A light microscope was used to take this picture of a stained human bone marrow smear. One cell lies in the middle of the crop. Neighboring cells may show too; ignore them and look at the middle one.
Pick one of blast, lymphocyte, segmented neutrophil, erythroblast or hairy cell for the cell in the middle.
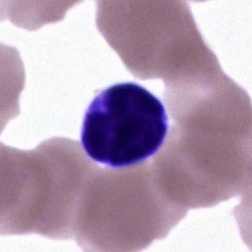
lymphocyte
